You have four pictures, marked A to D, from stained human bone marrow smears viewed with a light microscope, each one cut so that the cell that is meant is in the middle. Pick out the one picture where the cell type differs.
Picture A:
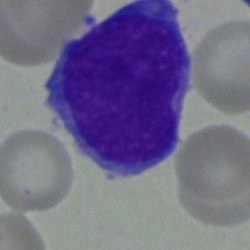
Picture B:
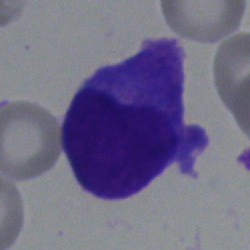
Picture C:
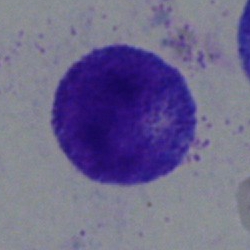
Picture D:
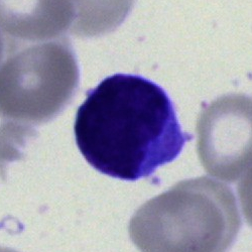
C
